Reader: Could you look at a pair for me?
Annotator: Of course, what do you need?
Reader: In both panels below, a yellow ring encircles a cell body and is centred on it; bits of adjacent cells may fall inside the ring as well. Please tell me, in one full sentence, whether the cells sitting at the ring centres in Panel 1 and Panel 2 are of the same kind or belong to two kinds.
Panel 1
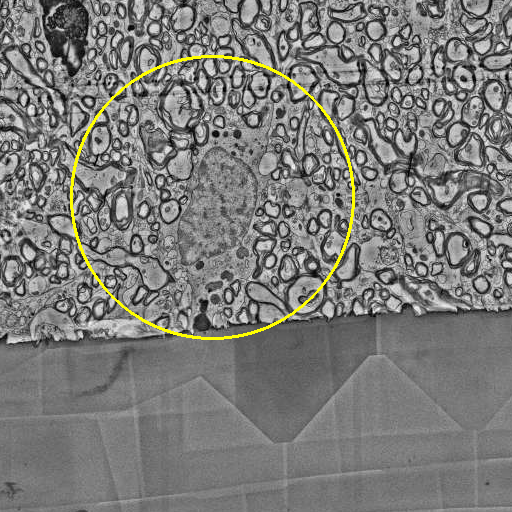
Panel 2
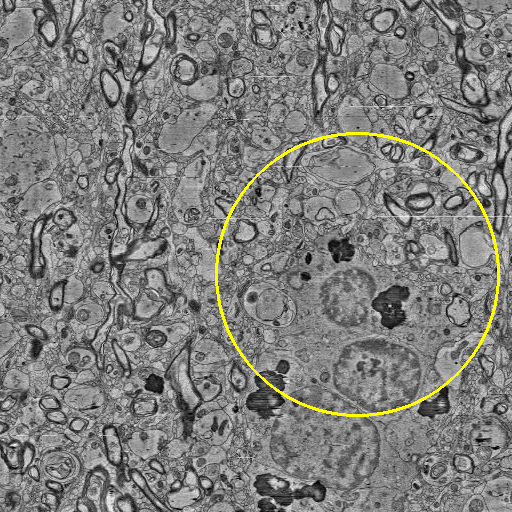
The cell at the ring's centre in Panel 1 and the one in Panel 2 are of the same kind.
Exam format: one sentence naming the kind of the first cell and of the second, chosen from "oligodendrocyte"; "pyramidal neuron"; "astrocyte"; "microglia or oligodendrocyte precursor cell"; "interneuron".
The second cell is an oligodendrocyte, just as the first is.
